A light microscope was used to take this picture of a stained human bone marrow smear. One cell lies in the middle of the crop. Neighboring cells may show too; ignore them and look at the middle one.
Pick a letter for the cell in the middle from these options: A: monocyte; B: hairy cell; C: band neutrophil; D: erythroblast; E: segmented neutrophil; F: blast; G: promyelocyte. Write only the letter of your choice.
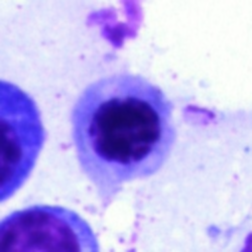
D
